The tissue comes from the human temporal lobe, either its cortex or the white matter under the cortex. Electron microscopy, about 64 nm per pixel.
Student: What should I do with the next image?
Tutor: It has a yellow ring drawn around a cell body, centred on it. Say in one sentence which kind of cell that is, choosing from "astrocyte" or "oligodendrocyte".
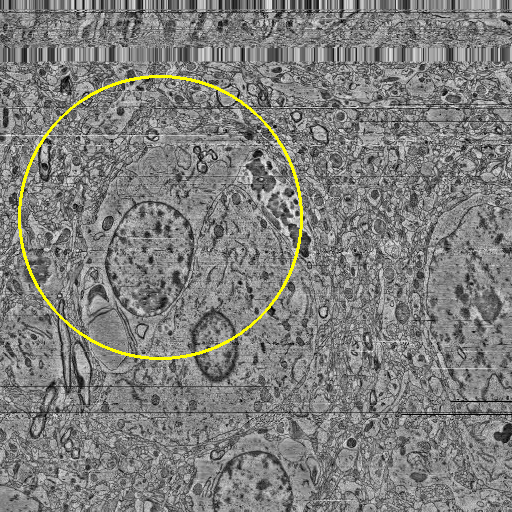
The ring's centre is occupied by an astrocyte.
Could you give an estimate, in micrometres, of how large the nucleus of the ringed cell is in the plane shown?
In this plane the nucleus measures roughly 8 by 5 micrometres.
